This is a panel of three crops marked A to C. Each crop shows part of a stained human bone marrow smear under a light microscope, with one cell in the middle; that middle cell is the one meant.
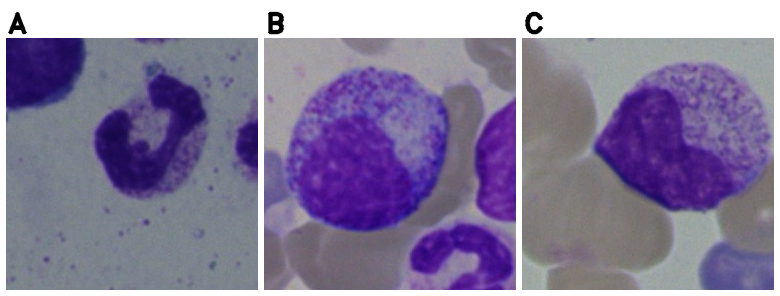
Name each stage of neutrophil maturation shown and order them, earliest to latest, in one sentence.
From the earliest stage to the most mature one, the order is crop B (a myelocyte), crop C (a metamyelocyte) and crop A (a segmented neutrophil).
